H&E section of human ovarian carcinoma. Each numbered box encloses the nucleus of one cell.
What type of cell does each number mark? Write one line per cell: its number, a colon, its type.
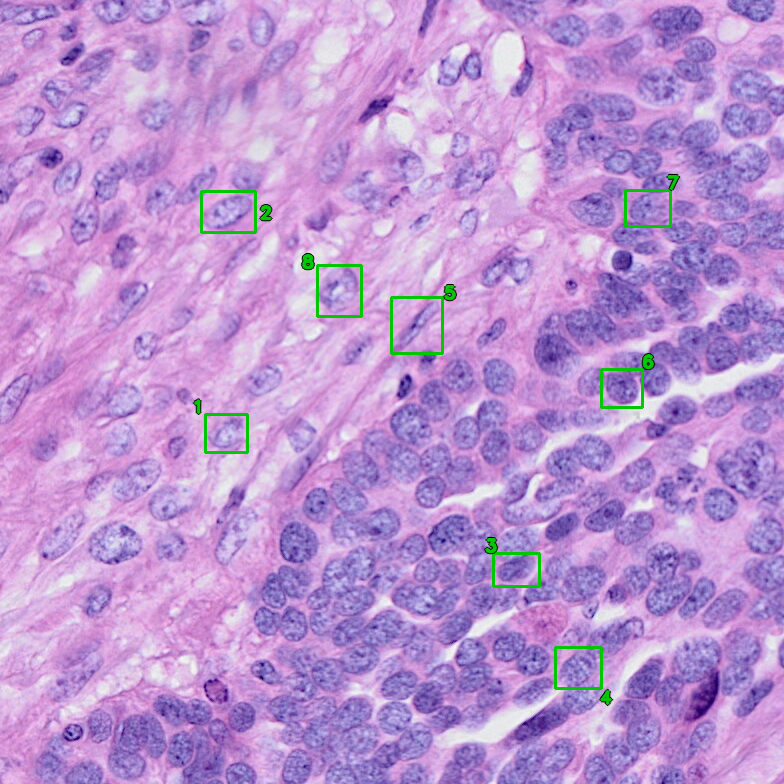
1: fibroblast
2: fibroblast
3: carcinoma cell
4: carcinoma cell
5: fibroblast
6: carcinoma cell
7: carcinoma cell
8: fibroblast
